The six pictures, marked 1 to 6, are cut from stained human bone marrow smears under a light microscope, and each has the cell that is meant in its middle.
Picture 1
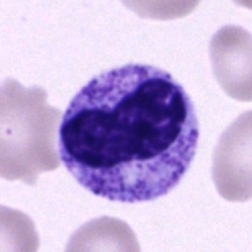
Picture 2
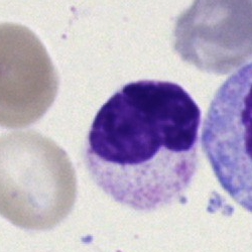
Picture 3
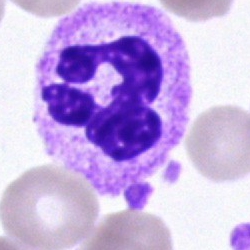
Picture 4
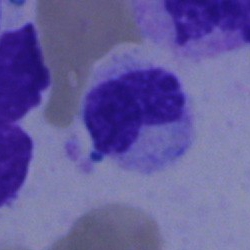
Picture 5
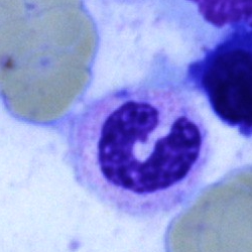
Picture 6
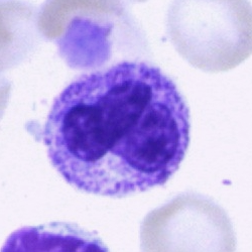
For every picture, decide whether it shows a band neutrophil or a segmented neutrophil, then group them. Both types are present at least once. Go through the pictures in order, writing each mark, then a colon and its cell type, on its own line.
1: band neutrophil
2: band neutrophil
3: segmented neutrophil
4: band neutrophil
5: segmented neutrophil
6: band neutrophil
